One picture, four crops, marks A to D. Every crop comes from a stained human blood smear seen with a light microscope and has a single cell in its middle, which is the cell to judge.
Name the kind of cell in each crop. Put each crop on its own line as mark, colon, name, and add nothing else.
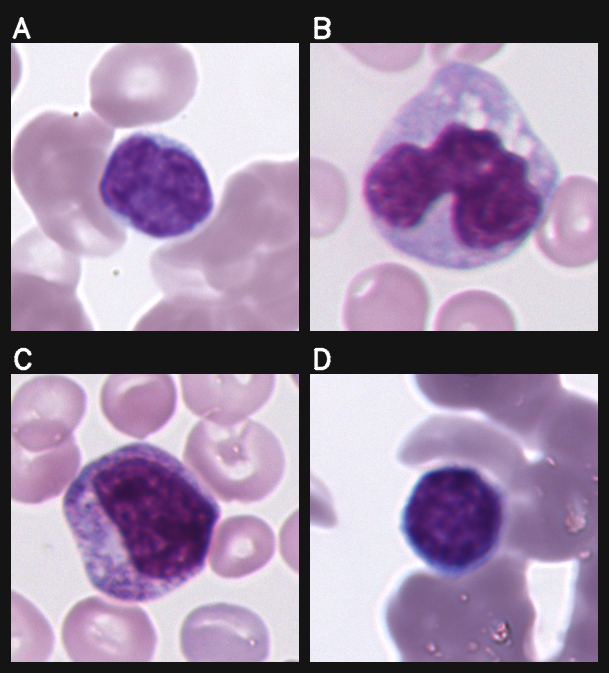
A: lymphocyte
B: monocyte
C: metamyelocyte
D: lymphocyte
